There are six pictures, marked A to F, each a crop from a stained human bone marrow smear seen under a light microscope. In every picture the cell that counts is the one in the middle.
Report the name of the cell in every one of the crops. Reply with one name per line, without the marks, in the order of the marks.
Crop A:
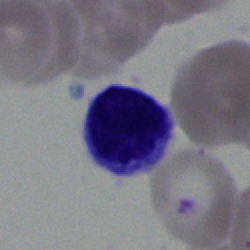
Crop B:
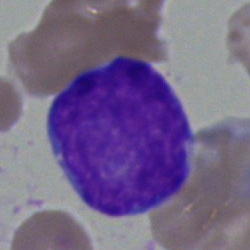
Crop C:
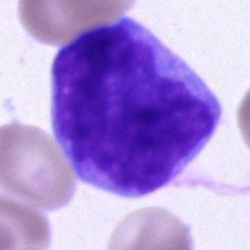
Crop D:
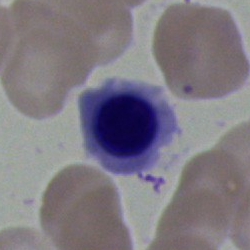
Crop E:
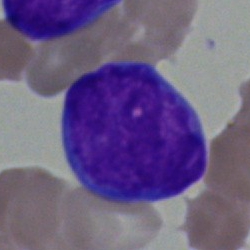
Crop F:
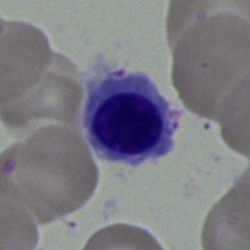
lymphocyte
blast
blast
erythroblast
blast
erythroblast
